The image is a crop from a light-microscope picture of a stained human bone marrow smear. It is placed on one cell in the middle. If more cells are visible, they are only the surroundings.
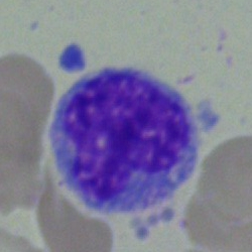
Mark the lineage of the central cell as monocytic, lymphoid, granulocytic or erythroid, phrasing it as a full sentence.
The cell in the center of the crop is counted in the monocytic lineage.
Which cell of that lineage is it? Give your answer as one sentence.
In the centre of this crop there is a monocyte.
